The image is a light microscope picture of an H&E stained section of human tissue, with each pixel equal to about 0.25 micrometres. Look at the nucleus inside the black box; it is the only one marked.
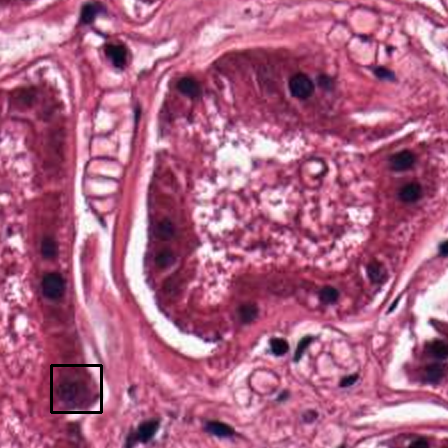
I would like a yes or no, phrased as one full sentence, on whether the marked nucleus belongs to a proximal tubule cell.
Yes, the marked nucleus is contained in a proximal tubule cell.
